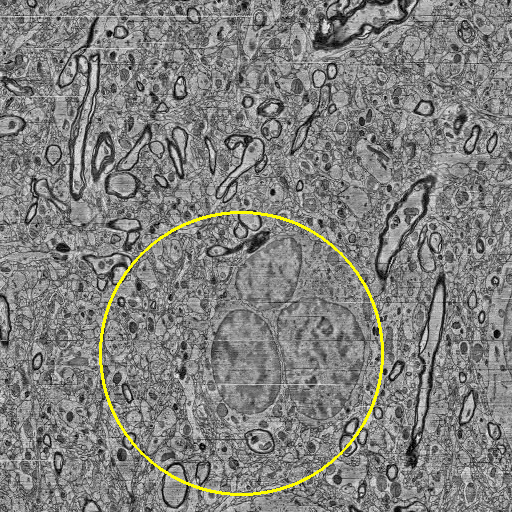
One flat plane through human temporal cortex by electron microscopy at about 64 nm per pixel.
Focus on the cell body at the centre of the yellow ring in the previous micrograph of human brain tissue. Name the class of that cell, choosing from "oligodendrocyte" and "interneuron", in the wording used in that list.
oligodendrocyte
